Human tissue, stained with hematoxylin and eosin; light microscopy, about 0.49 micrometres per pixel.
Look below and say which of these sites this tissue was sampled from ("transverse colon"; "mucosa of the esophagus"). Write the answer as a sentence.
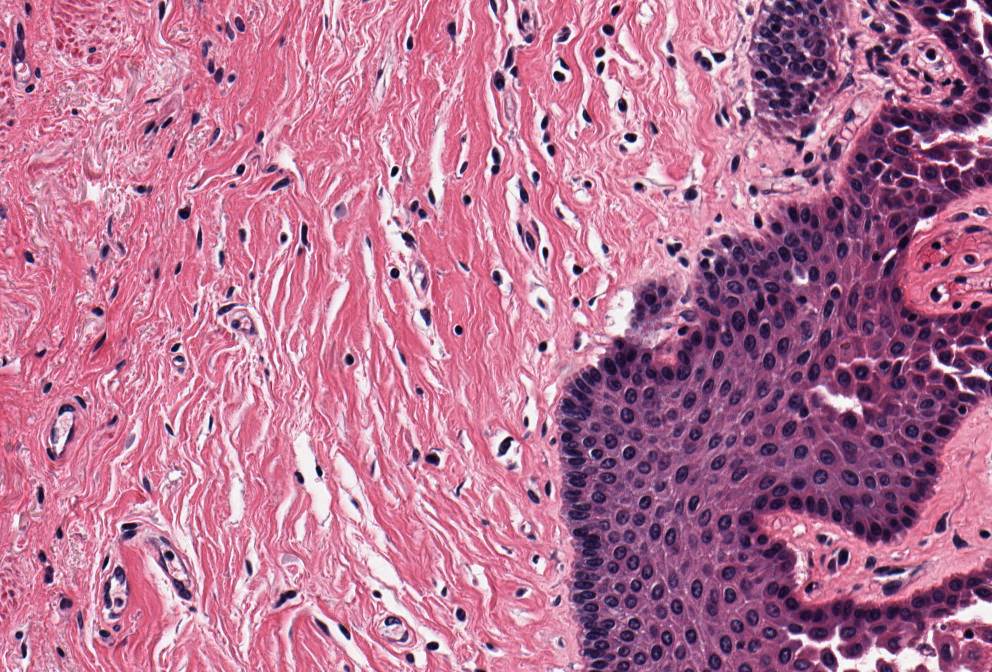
The site this tissue was sampled from is the mucosa of the esophagus.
